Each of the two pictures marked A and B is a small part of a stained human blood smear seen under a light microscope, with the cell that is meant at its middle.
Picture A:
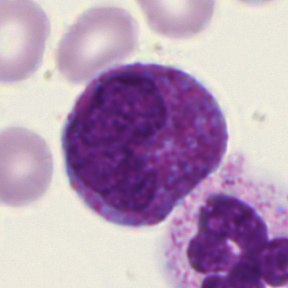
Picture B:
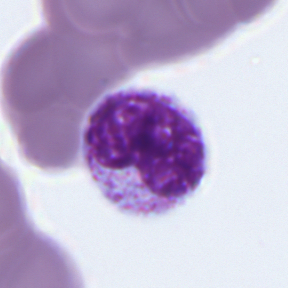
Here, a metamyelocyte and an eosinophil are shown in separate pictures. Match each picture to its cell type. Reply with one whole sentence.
In picture A the cell is an eosinophil; in picture B, a metamyelocyte.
